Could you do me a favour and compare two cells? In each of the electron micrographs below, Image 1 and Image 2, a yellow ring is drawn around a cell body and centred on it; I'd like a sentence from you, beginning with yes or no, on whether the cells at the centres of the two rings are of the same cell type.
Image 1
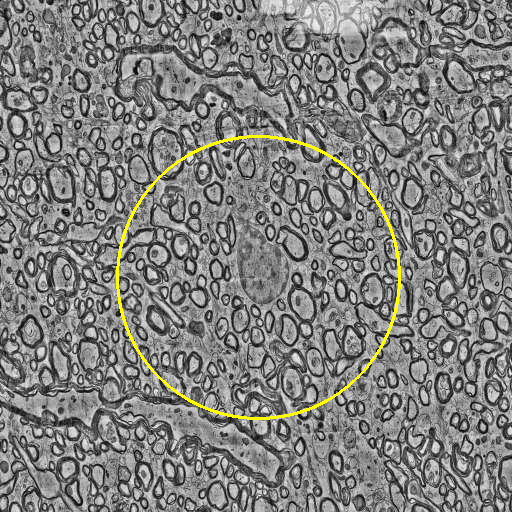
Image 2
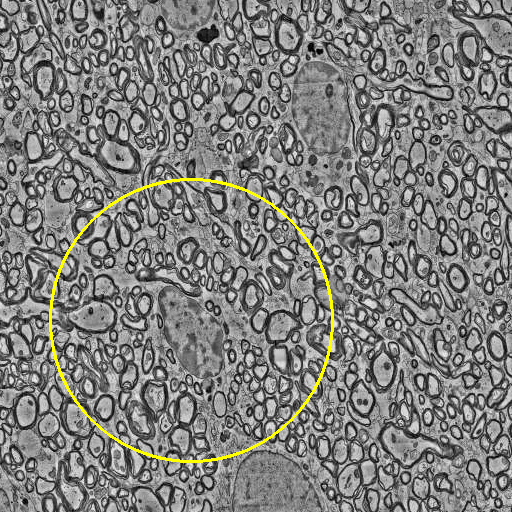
Yes, the two cells are of the same cell type.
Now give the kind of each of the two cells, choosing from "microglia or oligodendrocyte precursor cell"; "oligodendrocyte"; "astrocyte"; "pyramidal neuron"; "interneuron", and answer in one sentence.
Both pictures show a microglial cell or oligodendrocyte precursor cell at the centre of the ring.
